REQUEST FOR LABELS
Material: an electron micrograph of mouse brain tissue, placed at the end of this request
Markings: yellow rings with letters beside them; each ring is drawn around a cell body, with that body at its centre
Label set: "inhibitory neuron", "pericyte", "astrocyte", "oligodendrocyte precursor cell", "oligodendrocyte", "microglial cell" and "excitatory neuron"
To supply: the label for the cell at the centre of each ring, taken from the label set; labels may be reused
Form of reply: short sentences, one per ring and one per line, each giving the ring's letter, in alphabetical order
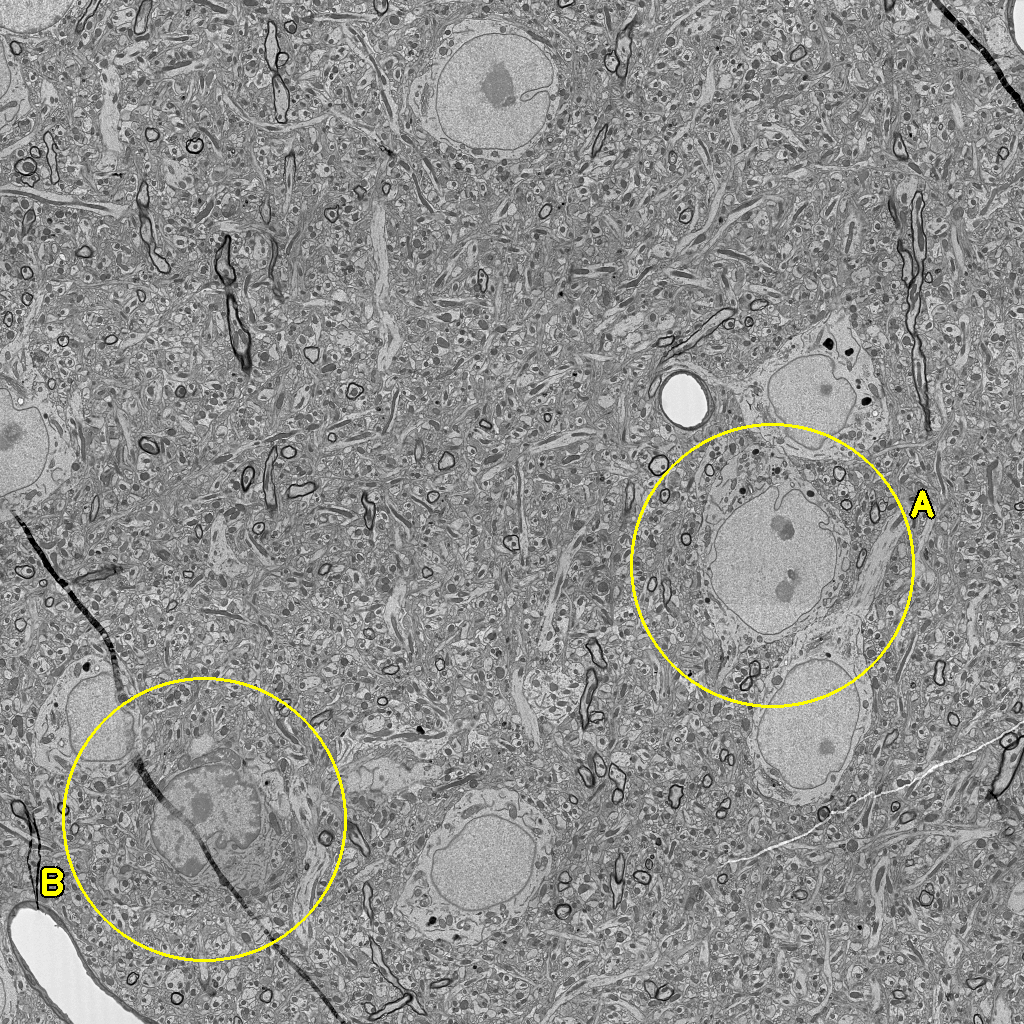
Ring A: the cell in the middle is an excitatory neuron.
Ring B: the cell in the middle is an oligodendrocyte.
